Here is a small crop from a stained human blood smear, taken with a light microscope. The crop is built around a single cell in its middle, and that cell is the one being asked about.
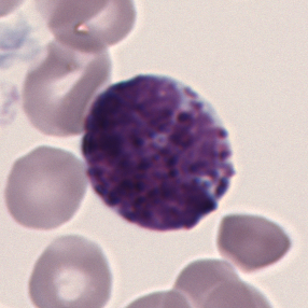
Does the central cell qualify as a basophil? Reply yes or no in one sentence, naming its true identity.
Yes, the identity of the central cell is that of a basophil.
